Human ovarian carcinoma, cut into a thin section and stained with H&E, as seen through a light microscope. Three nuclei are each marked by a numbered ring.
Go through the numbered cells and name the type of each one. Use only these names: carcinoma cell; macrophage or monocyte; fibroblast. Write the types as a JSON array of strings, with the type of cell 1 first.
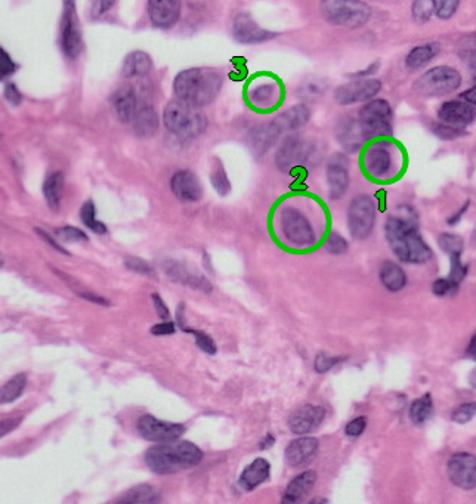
["carcinoma cell", "carcinoma cell", "macrophage or monocyte"]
